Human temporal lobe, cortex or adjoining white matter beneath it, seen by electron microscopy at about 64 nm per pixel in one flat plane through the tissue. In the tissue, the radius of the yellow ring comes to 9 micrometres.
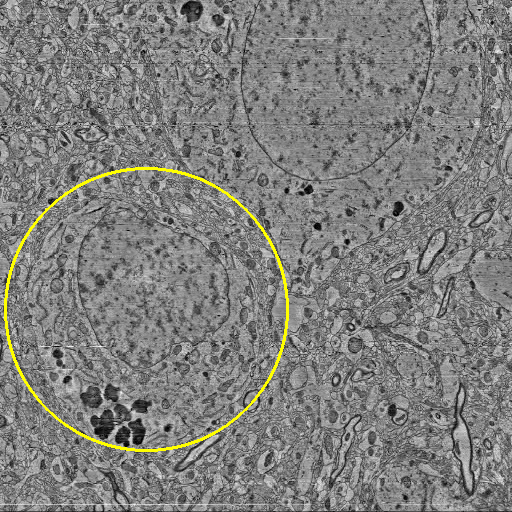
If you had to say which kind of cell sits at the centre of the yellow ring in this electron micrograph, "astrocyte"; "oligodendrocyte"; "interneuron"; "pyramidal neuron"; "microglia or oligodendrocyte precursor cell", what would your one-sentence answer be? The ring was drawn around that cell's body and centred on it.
The cell sitting at the centre of the ring is an interneuron.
